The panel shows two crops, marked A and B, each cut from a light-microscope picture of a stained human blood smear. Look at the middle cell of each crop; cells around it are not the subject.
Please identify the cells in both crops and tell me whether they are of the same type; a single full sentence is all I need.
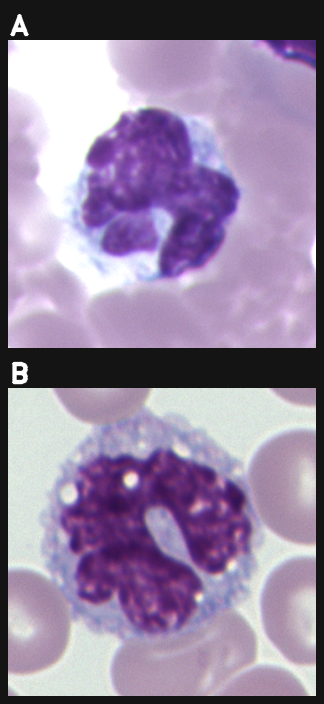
Yes, monocytes lie at the centre of both crops.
